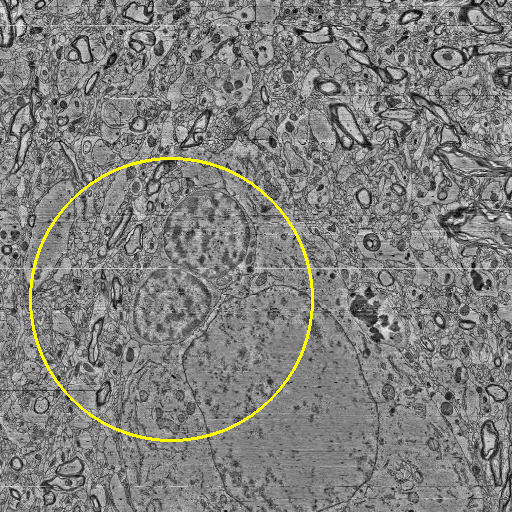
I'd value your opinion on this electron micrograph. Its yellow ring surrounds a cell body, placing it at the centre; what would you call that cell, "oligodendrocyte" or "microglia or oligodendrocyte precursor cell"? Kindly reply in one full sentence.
It is an oligodendrocyte that sits centred within the yellow ring in this micrograph.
